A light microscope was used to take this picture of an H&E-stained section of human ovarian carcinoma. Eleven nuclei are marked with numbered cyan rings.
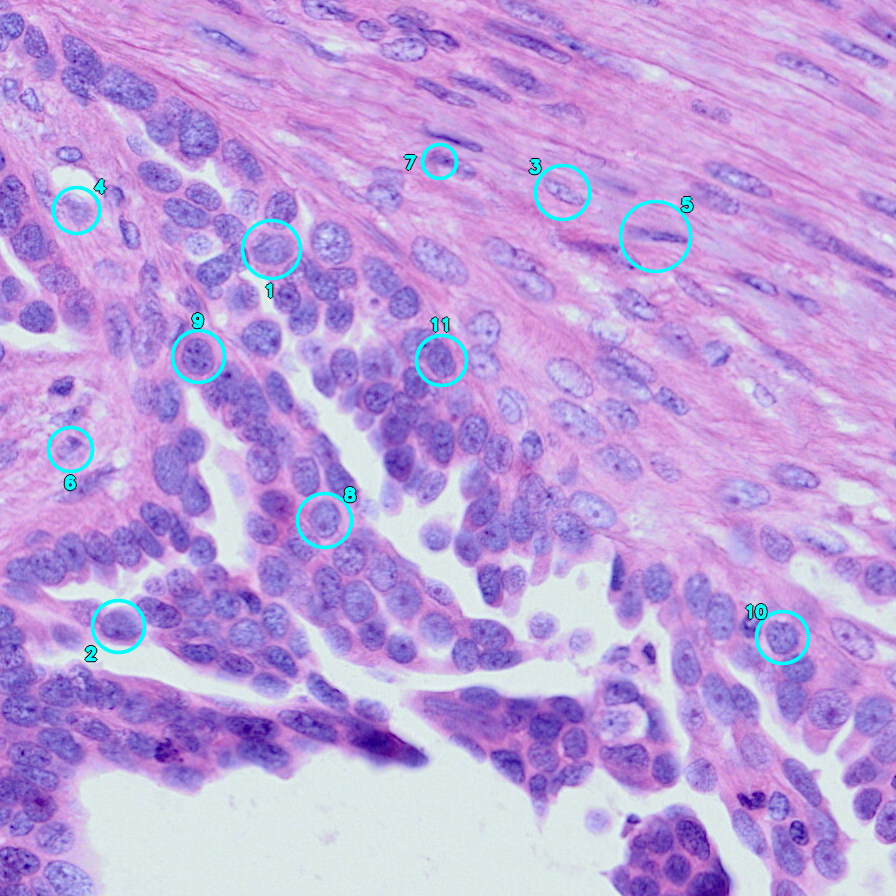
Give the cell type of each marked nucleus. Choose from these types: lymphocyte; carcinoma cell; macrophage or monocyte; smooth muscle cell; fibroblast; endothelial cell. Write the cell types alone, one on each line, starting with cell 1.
carcinoma cell
carcinoma cell
fibroblast
fibroblast
fibroblast
fibroblast
fibroblast
carcinoma cell
carcinoma cell
carcinoma cell
carcinoma cell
